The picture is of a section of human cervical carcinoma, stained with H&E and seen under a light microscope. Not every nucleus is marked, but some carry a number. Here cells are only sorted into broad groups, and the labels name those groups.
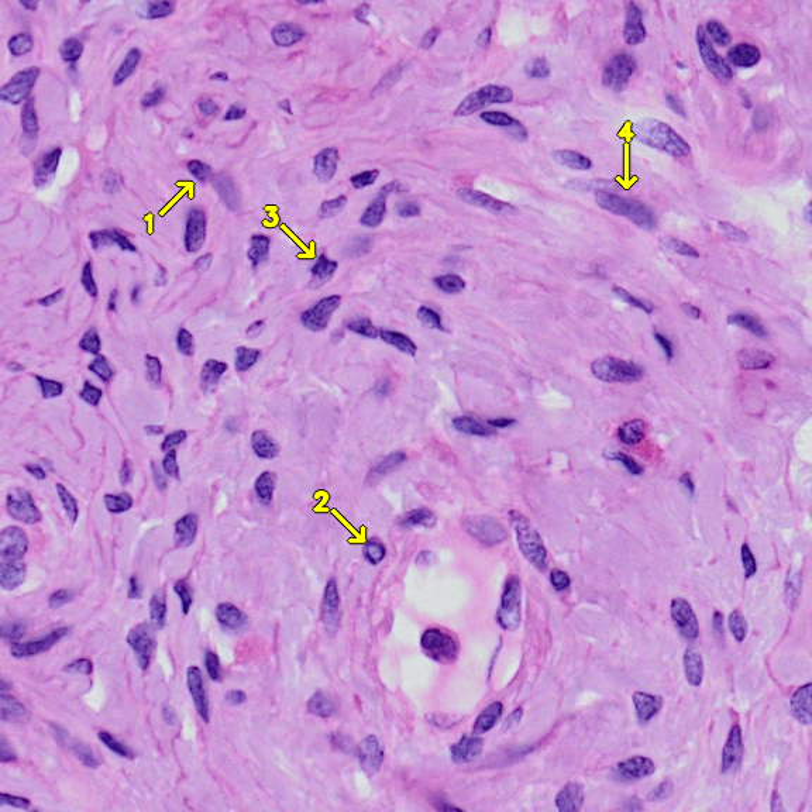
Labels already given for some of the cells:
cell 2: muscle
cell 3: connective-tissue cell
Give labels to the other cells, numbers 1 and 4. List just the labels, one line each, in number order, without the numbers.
connective-tissue cell
connective-tissue cell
